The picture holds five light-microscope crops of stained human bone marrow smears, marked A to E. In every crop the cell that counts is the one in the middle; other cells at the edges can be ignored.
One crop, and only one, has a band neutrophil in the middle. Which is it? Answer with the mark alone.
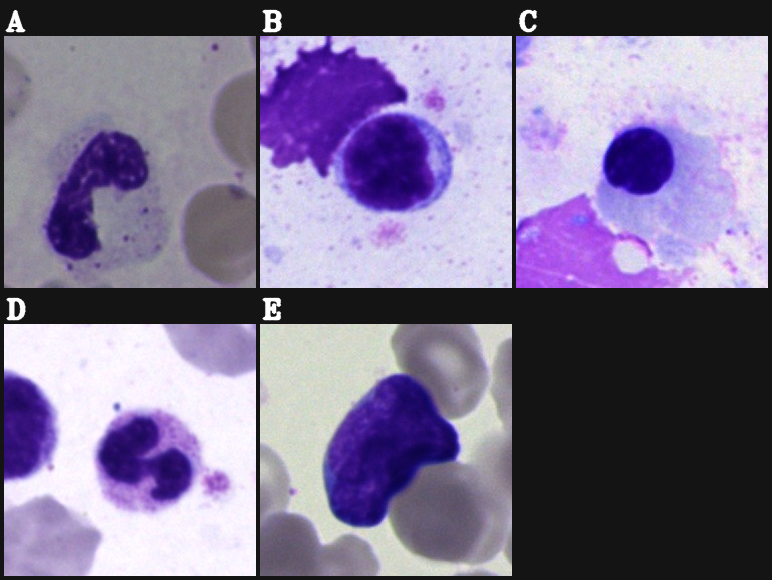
A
